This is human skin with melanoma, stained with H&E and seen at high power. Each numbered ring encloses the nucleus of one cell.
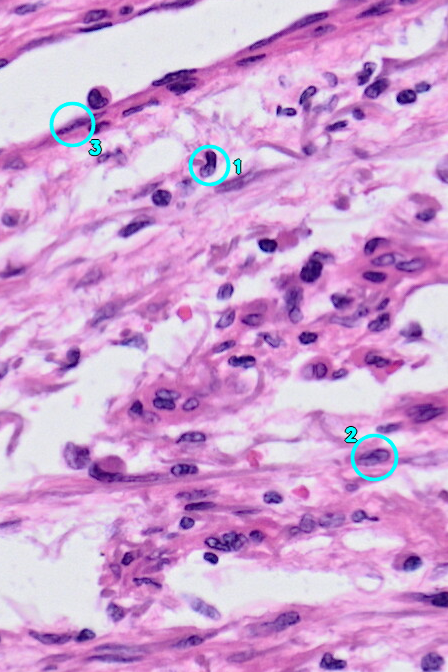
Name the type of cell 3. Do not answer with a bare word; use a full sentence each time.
Number 3 is placed on an endothelial cell here.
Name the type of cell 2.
The marked nucleus 2 is that of a macrophage or monocyte.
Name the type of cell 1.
The nucleus marked 1 is the nucleus of a lymphocyte.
